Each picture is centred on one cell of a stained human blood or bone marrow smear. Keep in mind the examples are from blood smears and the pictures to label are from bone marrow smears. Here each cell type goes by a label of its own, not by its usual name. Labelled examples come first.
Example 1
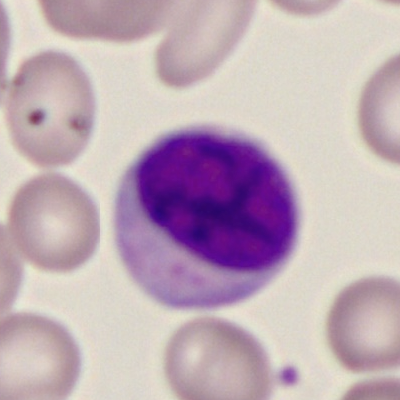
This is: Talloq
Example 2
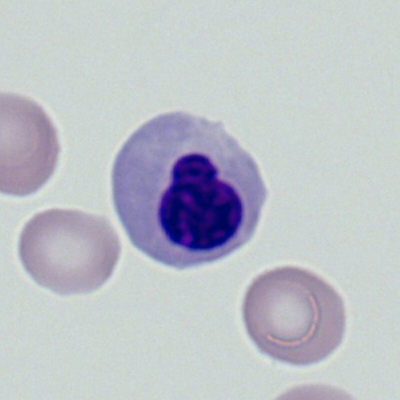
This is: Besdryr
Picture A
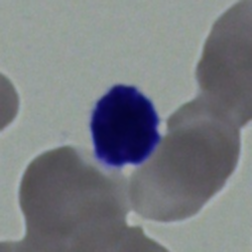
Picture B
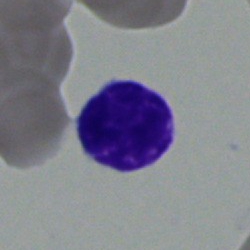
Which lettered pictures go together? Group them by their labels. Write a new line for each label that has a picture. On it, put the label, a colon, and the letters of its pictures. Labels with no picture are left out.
Talloq: A, B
